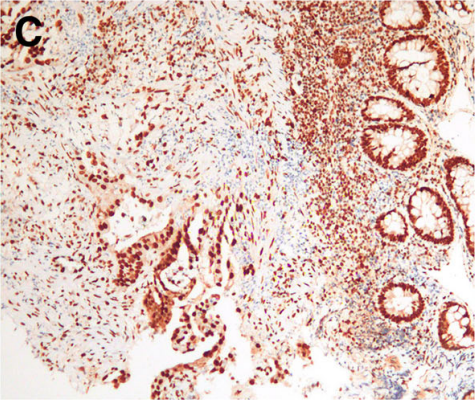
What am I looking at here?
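On the right, round crypts of normal colonic mucosa with pale goblet cells sit in a lamina propria crowded with small cells, while on the left irregular tumor glands spread through a pale, spindle-celled stroma. Nuclei in the tumor glands stain strongly brown, as do the nuclei at the base of the normal crypts and many stromal and inflammatory cell nuclei. The brown colour lies in the nuclei rather than the cytoplasm, so the tumor cells keep nuclear staining, just like the surrounding normal cells.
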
